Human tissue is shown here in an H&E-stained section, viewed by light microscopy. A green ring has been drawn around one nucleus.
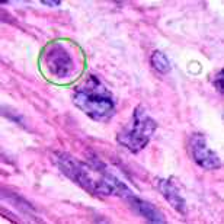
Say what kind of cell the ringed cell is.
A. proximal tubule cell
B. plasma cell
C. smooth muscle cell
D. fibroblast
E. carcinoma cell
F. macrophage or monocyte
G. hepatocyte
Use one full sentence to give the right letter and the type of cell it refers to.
Hey, it is option F: the ringed cell is a macrophage or monocyte.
